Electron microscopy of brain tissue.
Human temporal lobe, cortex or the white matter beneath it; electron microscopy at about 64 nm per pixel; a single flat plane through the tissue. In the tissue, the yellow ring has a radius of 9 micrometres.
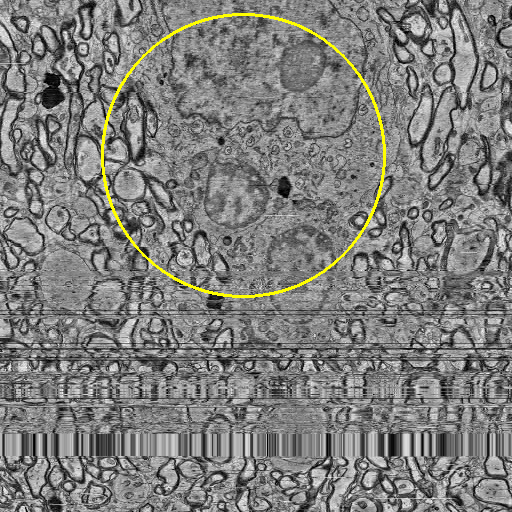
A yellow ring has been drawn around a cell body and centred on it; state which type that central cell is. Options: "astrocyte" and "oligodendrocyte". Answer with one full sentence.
The cell at the middle of the yellow ring is an oligodendrocyte in this picture.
